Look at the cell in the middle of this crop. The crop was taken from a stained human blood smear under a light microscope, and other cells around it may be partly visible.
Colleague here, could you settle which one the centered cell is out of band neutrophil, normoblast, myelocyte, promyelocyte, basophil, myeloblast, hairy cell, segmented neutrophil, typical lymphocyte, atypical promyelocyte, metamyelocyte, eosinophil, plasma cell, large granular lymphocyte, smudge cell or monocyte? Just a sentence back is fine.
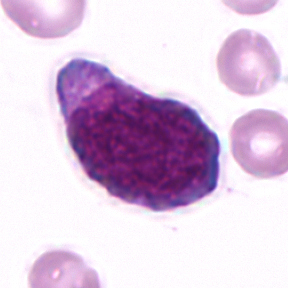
In short, the cell at the center is an atypical promyelocyte.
